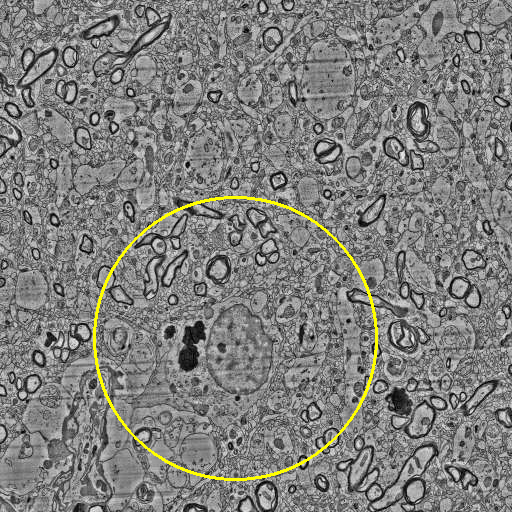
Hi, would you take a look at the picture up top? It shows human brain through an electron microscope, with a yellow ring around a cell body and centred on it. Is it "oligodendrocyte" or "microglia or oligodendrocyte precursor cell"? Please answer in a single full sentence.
The best fit for the cell in the middle of the ring is an oligodendrocyte, I reckon.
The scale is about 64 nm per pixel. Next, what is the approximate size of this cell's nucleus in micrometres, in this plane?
In this plane the nucleus is about 6 micrometres by 4.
